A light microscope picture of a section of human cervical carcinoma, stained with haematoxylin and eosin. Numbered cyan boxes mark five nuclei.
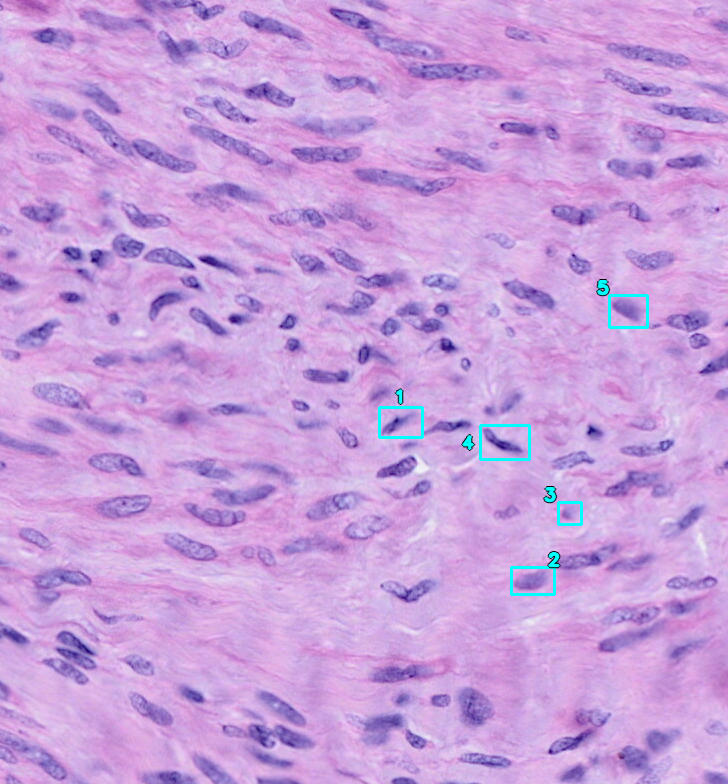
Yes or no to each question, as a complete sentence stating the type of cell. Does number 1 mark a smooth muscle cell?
No, a fibroblast, not a smooth muscle cell, is the cell with number 1.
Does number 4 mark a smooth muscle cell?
No, the cell numbered 4 is a fibroblast rather than a smooth muscle cell.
